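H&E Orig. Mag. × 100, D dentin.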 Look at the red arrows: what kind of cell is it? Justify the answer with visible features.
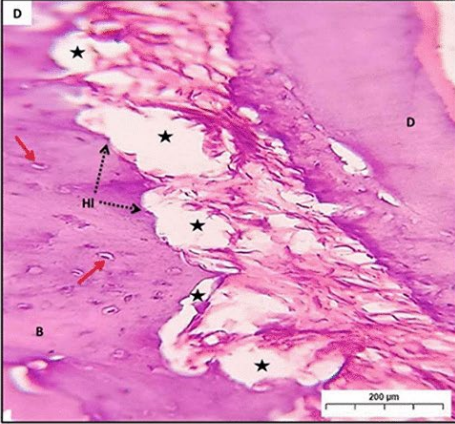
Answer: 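Osteocytes. The red arrows point to small cells enclosed in lacunae within the bone matrix.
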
